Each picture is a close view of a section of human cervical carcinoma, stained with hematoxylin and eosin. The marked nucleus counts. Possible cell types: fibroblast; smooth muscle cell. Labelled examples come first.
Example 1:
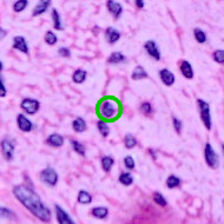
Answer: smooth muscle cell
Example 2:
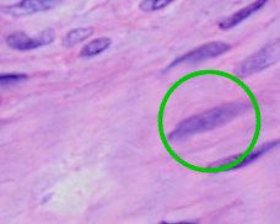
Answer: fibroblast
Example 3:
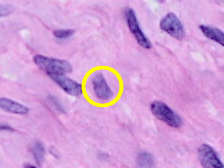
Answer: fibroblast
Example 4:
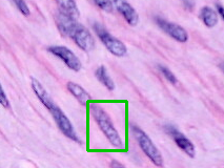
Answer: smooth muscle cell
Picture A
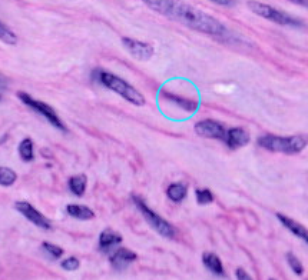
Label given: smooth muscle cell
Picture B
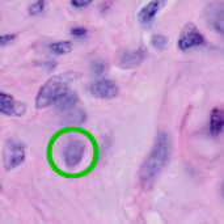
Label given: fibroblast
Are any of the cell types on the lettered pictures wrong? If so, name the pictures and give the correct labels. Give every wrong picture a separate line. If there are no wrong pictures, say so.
Nothing to fix; every label fits.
